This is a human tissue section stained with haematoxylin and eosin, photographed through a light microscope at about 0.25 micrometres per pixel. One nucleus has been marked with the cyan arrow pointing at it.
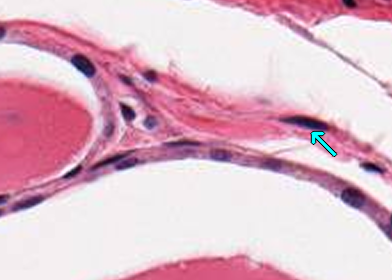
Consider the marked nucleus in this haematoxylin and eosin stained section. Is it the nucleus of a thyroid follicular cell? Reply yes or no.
no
